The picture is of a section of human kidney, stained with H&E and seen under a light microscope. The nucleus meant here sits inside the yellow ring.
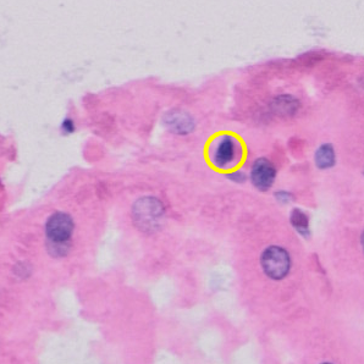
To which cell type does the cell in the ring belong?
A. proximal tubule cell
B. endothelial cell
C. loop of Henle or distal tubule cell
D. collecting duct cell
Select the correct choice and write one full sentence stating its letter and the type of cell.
Settle on option B; the cell in the ring is an endothelial cell.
